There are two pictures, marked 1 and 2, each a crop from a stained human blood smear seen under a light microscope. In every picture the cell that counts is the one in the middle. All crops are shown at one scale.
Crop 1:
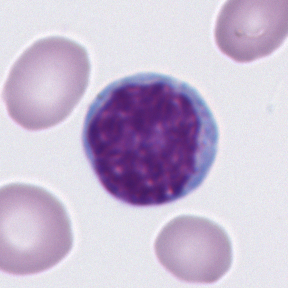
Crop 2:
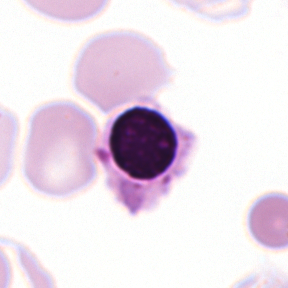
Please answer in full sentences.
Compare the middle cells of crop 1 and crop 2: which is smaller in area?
The cell in crop 2 is smaller; the one in crop 1 has about 2 times its area.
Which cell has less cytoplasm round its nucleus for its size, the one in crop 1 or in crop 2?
Of the two, the nucleus in crop 1 makes up the greater part of its cell.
